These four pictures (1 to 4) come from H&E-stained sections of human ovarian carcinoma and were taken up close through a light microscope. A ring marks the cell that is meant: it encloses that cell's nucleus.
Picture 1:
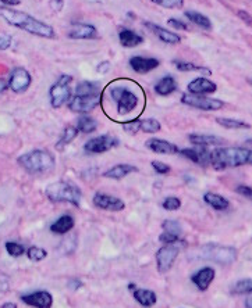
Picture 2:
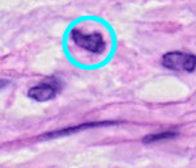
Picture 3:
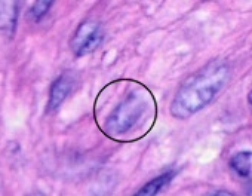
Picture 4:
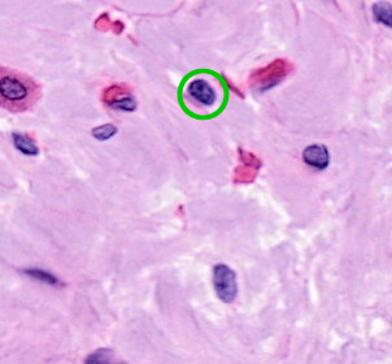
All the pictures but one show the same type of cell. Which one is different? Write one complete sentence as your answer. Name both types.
Unlike the rest, which show lymphocytes, picture 3 shows a fibroblast.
